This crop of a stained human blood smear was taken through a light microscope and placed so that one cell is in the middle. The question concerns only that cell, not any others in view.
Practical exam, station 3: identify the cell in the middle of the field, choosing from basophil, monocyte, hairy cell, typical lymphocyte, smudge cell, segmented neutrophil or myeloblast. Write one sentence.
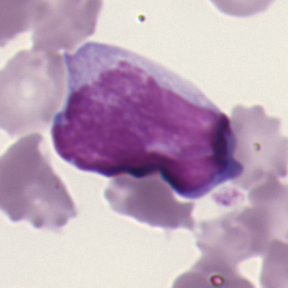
The middle of this crop is occupied by a myeloblast.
